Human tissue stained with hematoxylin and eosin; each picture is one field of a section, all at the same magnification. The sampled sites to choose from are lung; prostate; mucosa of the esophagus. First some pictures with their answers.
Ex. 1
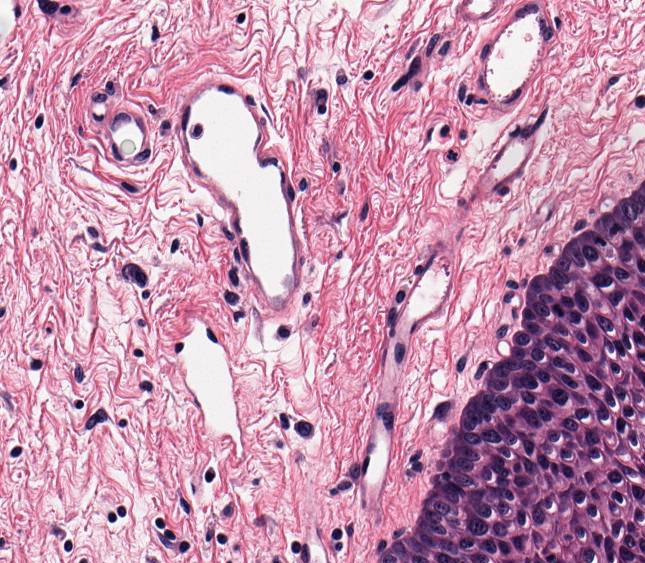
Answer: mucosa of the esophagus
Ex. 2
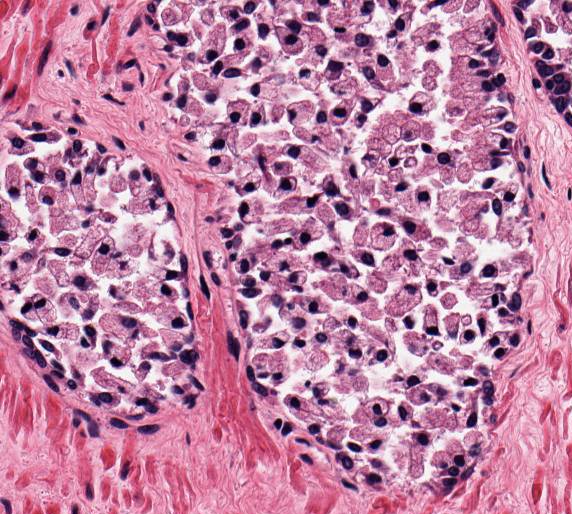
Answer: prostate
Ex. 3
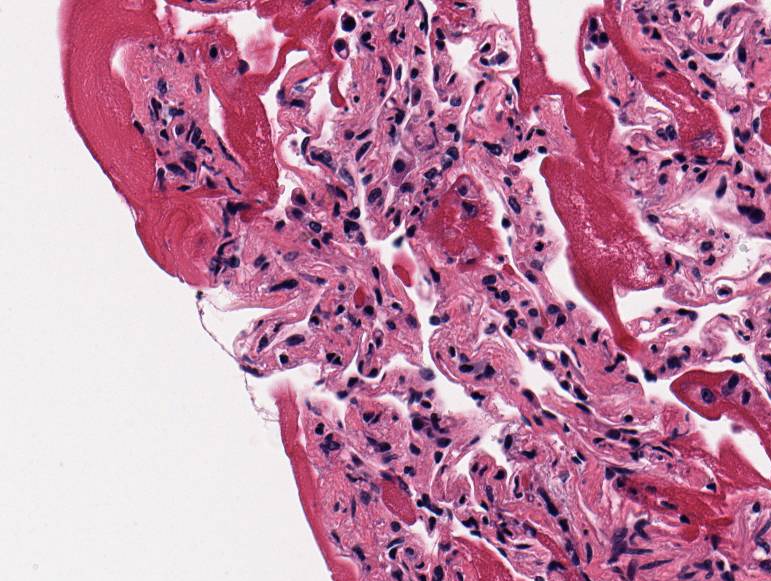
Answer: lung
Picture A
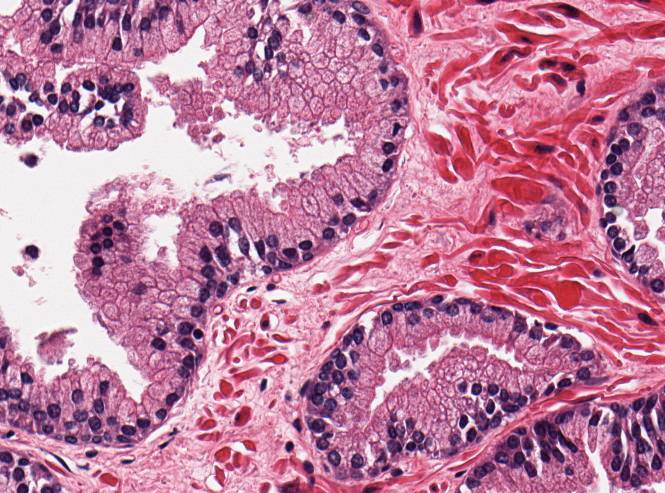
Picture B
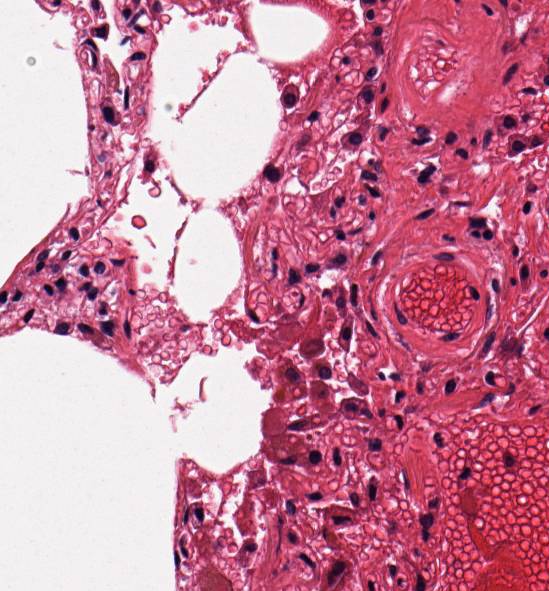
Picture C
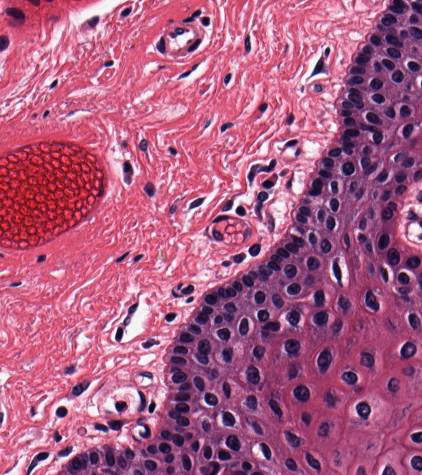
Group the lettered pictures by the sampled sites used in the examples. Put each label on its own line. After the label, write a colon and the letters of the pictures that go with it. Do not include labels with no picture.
lung: B
prostate: A
mucosa of the esophagus: C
